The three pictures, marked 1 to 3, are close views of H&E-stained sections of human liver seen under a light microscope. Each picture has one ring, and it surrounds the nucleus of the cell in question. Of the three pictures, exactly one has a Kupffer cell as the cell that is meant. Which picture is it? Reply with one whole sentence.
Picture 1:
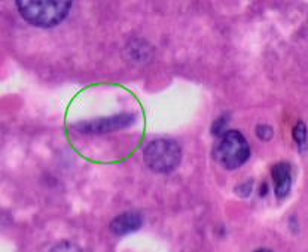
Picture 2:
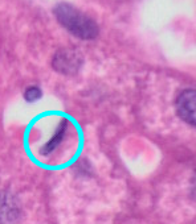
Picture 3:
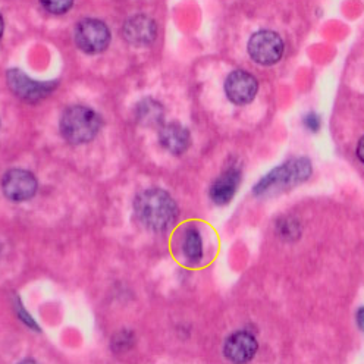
Picture 1 shows the Kupffer cell.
